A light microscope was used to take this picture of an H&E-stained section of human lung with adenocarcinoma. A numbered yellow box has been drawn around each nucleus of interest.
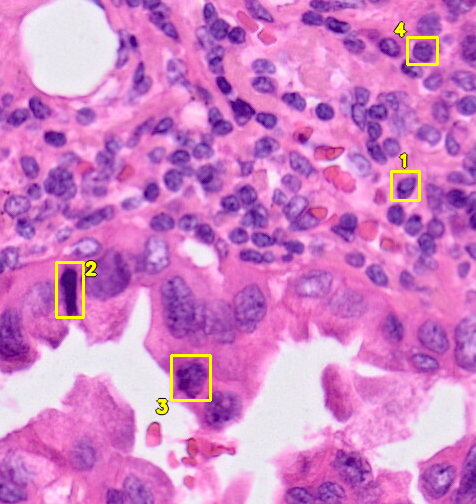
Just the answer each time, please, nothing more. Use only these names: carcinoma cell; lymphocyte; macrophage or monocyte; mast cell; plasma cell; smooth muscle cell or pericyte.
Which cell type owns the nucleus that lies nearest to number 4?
lymphocyte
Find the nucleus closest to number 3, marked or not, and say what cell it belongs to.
carcinoma cell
